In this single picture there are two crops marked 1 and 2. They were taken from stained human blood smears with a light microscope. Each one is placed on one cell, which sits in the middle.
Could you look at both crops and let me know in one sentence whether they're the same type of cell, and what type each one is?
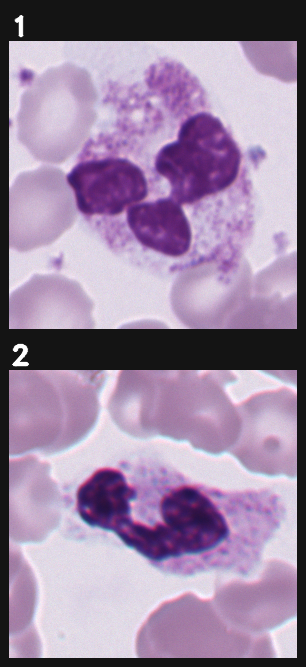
Yes, both crops show neutrophils in the middle.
